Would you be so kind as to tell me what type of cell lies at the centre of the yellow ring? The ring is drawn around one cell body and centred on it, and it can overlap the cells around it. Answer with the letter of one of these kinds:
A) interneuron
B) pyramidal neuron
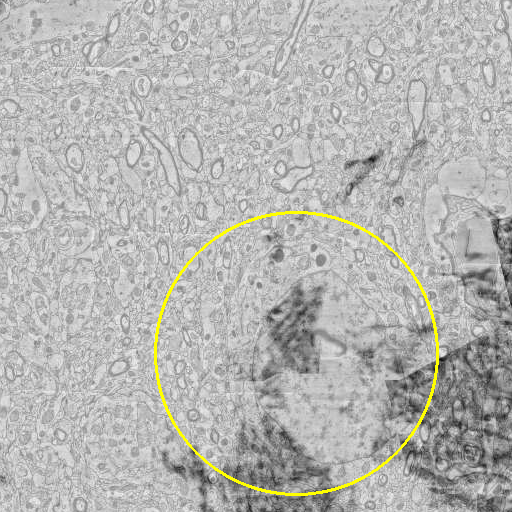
B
